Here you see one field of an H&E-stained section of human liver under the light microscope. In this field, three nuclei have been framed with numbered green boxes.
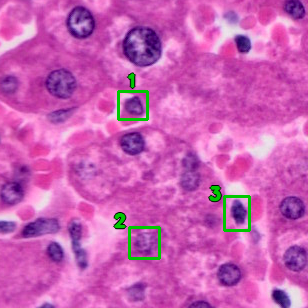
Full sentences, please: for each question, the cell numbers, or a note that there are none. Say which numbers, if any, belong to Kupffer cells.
Cell 1 is a Kupffer cell, while all remaining marked cells are of other types.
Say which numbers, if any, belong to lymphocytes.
Cell number 3 alone is a lymphocyte; the rest are not.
